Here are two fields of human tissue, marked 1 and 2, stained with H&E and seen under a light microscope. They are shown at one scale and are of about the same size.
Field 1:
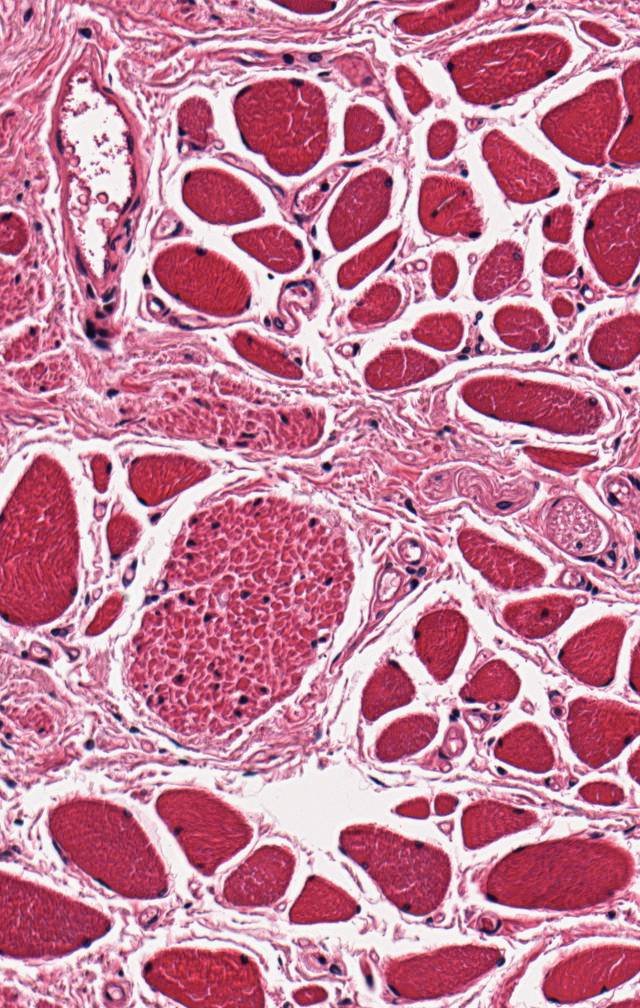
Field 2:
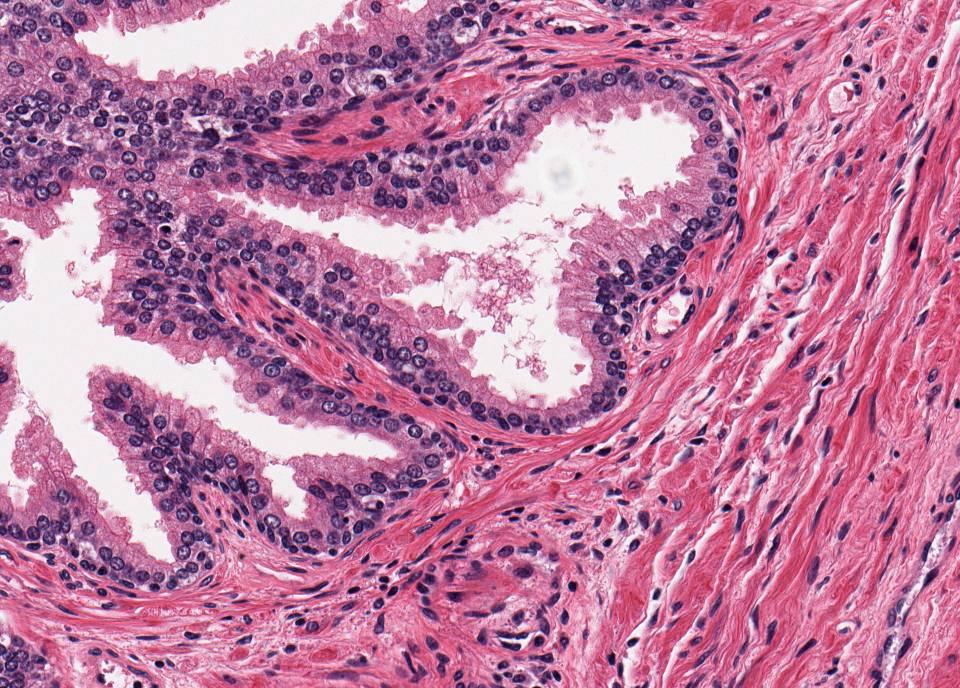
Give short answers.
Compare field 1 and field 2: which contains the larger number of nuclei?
2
